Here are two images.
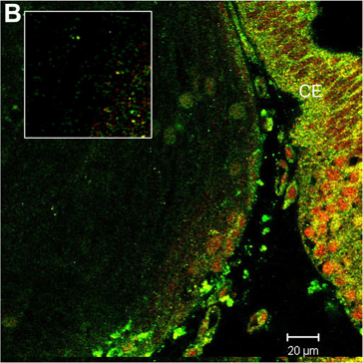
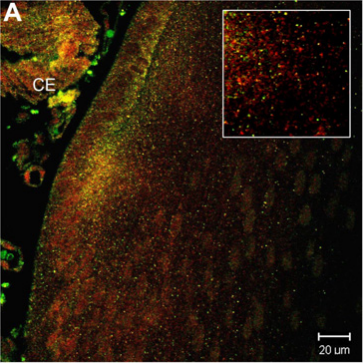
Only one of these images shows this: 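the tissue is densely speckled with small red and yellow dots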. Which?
The second image.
